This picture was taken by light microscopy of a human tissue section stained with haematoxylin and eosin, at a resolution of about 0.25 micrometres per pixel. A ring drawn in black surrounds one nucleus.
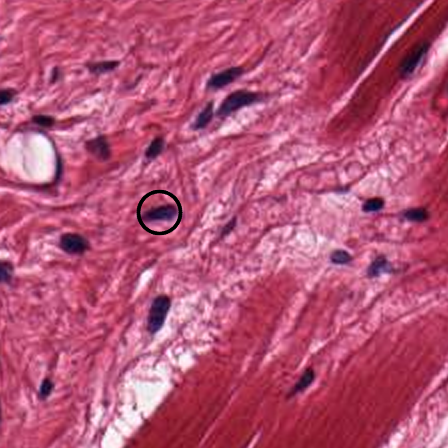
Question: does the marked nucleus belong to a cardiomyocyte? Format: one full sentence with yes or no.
No, the cell that carries the marked nucleus is a supporting cell, not a cardiomyocyte.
